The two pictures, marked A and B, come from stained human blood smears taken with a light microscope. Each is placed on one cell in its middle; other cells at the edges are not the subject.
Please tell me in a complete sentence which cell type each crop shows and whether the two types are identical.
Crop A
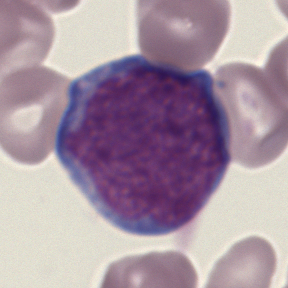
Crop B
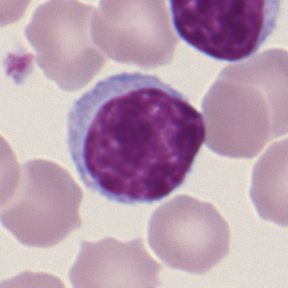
No, a typical lymphocyte is in crop B, and a myeloblast is in crop A.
